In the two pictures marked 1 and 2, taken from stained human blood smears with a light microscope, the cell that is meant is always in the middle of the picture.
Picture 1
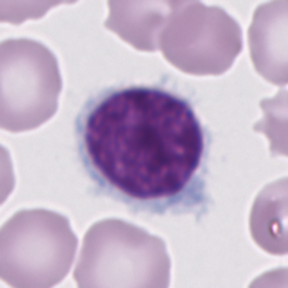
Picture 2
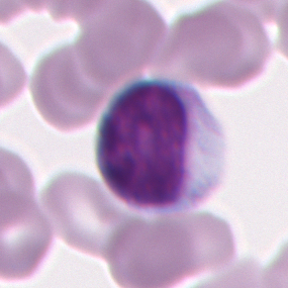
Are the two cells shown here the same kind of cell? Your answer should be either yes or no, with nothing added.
no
